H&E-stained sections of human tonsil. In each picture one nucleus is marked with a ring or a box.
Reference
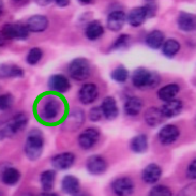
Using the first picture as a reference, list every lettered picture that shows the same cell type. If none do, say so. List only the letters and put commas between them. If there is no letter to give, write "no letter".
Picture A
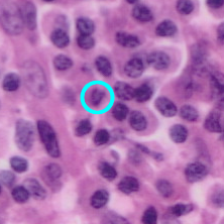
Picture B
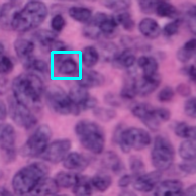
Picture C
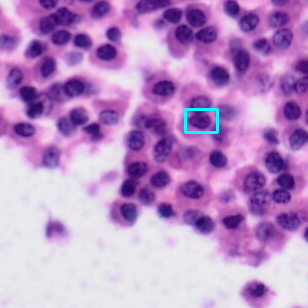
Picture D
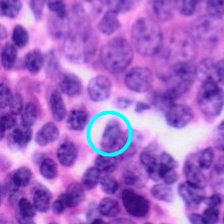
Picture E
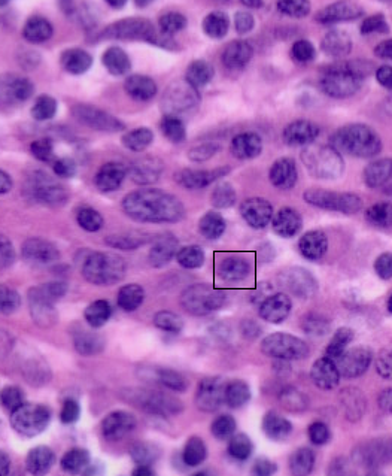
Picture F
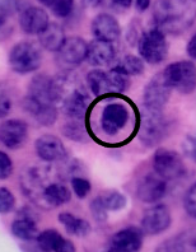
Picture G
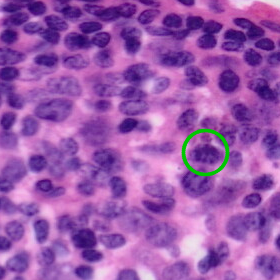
A, C, E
